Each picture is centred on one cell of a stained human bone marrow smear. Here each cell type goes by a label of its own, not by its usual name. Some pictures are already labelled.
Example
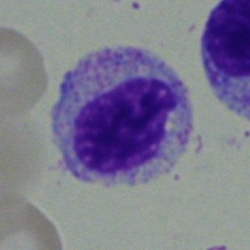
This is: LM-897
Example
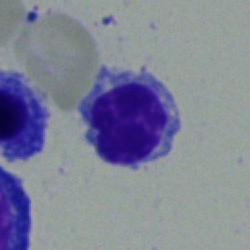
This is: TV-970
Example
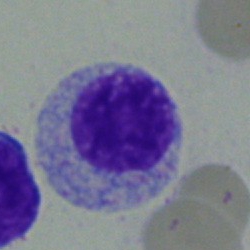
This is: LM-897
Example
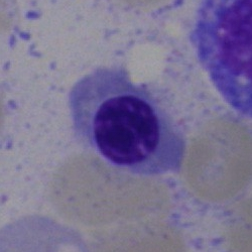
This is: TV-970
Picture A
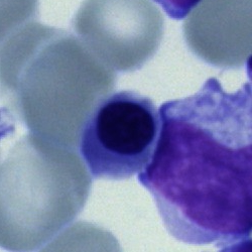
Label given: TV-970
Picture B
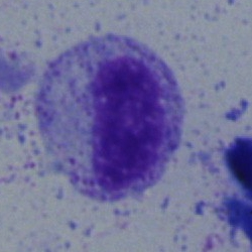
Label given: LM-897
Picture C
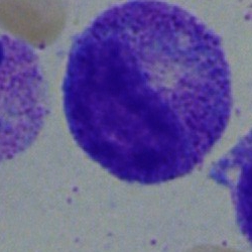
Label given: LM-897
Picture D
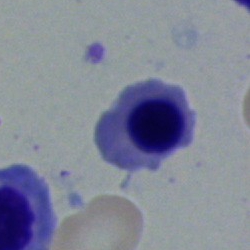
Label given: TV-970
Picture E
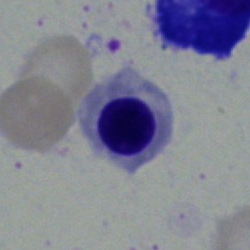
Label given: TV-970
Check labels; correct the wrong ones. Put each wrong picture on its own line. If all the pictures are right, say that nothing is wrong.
All correct.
